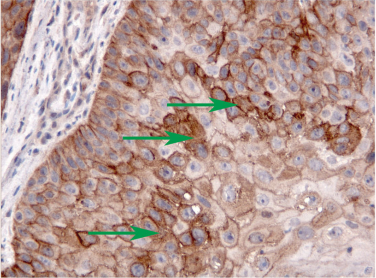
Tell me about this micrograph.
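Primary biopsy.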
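A broad sheet of large polygonal tumor cells fills most of the field, each with a round pale blue nucleus and ample pale cytoplasm. At the upper left lies a band of stroma with slender, elongated dark nuclei lined up in parallel. The tumor cells vary in size, and some show clear spaces between them.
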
